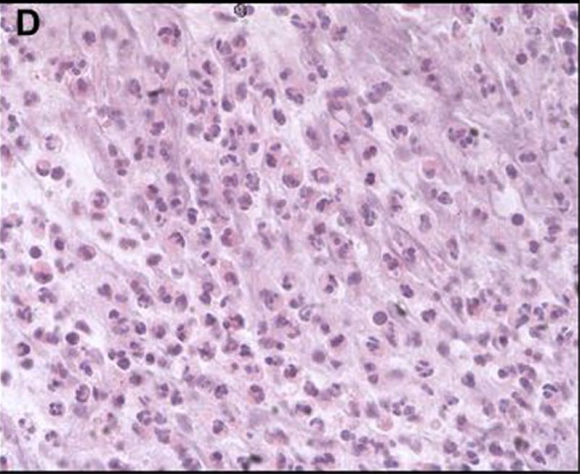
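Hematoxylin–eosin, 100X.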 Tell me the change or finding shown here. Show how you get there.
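The field is densely packed with small round cells. Many of these cells have lobed or segmented nuclei. The cells lie among pale pink fibrillar connective tissue.
Neutrophilic inflammatory infiltrate.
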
